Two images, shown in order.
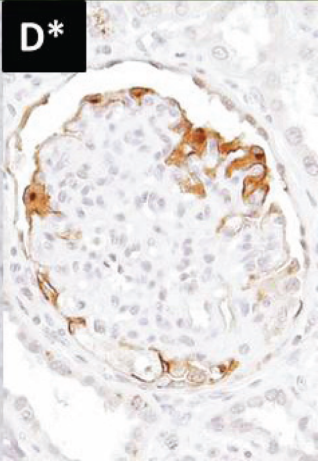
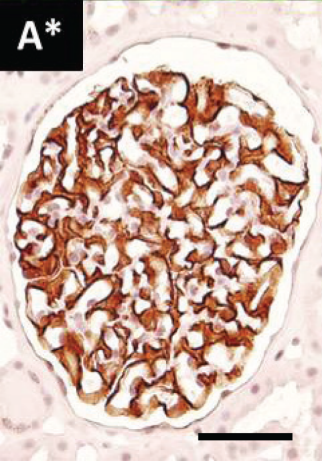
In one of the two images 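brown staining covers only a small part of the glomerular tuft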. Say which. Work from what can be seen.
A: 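The first image. First image: brown stain is restricted to a few small patches, most of the tuft is pale. Second image: brown stain outlines capillary loops across the entire tuft.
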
